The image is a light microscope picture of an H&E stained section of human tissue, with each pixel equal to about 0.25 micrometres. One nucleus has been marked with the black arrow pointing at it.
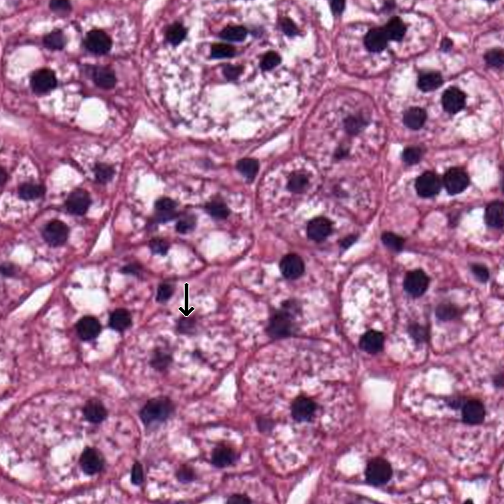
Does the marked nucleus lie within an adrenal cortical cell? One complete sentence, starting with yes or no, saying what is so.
Yes, the cell containing the marked nucleus is an adrenal cortical cell.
